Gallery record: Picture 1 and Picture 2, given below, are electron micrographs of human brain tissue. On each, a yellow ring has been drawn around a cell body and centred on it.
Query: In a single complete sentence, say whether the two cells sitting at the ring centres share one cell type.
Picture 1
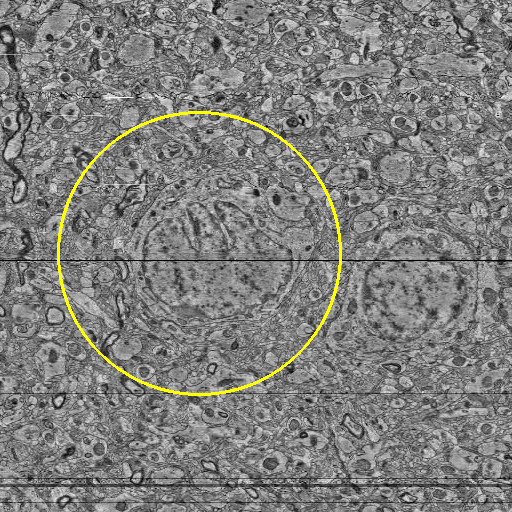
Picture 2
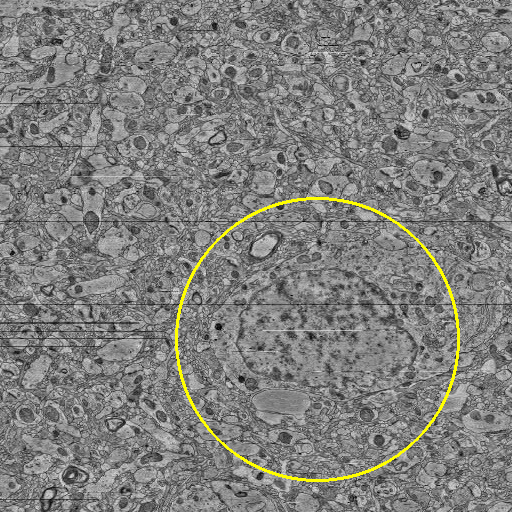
Yes, in both pictures the cell at the ring's centre is of one and the same type.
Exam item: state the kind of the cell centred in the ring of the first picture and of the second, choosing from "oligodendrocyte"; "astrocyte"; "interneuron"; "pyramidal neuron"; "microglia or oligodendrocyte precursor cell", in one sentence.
The cell in the first picture is an interneuron, and so is the one in the second.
